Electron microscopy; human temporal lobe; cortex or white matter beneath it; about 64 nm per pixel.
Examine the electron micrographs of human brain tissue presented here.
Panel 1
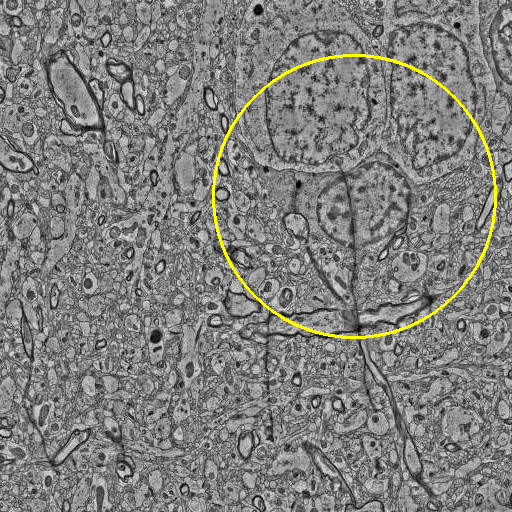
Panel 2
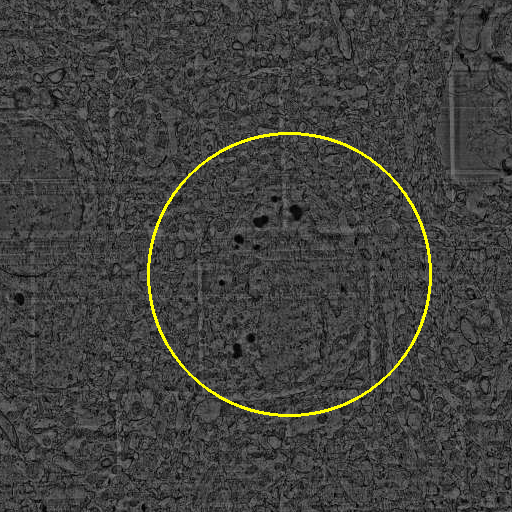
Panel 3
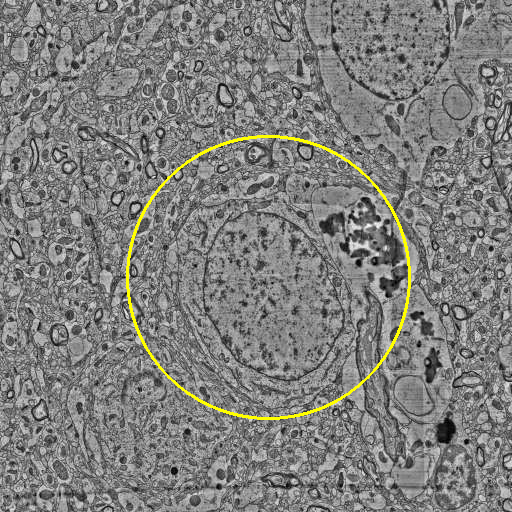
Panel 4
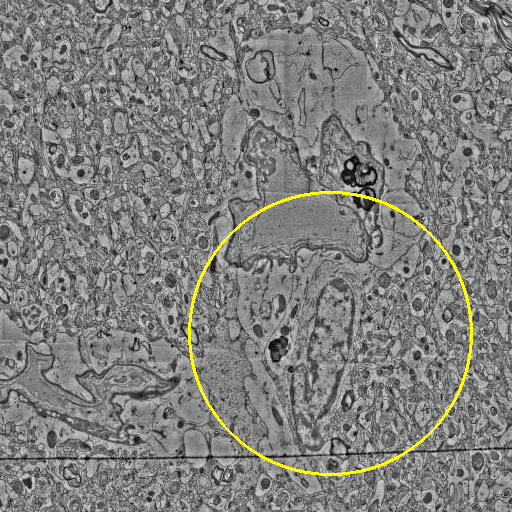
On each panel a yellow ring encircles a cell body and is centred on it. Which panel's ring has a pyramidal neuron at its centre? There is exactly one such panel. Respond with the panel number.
3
